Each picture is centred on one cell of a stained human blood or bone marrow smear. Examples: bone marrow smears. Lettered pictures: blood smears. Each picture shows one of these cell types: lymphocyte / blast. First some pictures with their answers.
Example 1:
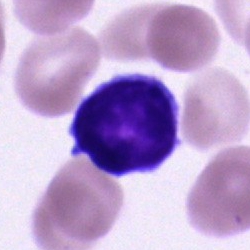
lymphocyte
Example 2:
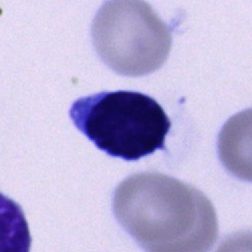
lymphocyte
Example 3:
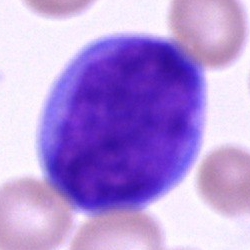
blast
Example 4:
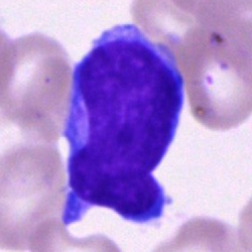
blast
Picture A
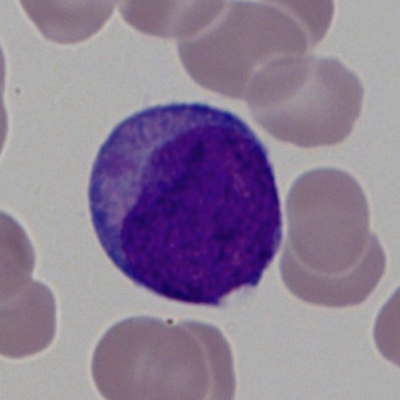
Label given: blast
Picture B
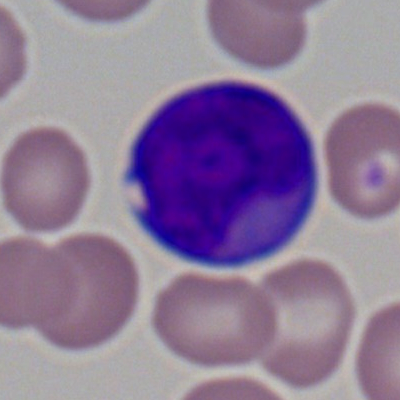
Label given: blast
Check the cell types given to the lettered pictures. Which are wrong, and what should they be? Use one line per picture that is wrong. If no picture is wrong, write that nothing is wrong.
None of the labels needs changing.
